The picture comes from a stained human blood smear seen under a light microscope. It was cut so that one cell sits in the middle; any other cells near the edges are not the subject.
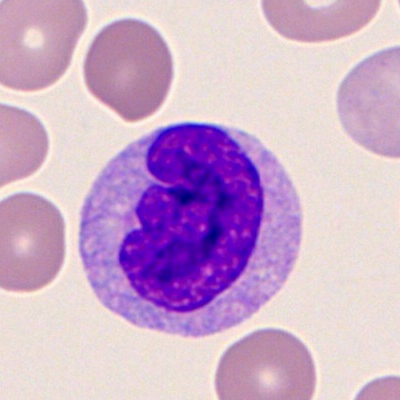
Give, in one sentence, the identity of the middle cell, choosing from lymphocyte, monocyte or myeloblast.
Located at the centre of the crop is a monocyte.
